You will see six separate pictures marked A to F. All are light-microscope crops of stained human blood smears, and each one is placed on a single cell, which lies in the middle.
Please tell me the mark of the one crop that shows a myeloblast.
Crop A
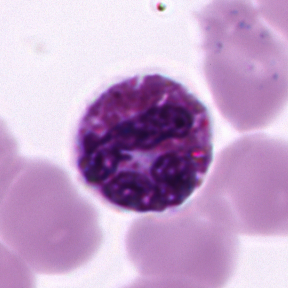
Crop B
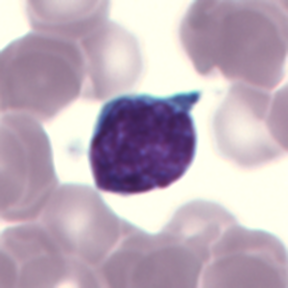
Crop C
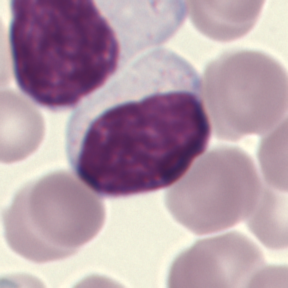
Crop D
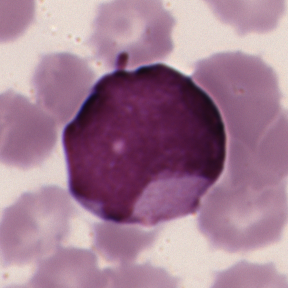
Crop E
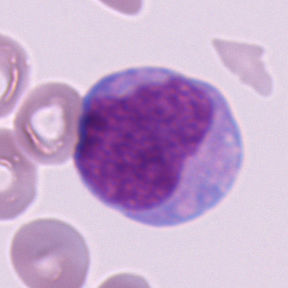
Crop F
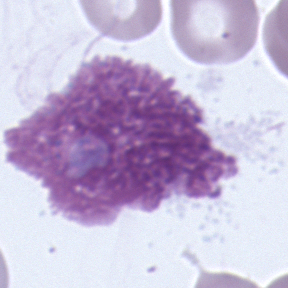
D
